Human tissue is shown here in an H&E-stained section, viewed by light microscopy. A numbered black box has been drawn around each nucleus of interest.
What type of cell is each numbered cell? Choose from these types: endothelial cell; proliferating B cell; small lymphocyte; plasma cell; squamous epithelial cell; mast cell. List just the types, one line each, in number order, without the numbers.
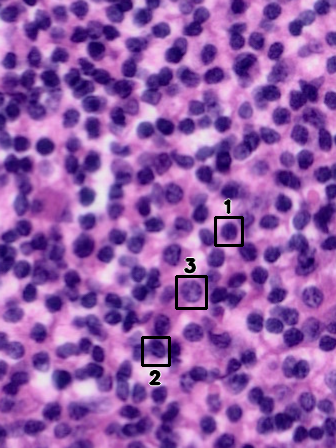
small lymphocyte
small lymphocyte
plasma cell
